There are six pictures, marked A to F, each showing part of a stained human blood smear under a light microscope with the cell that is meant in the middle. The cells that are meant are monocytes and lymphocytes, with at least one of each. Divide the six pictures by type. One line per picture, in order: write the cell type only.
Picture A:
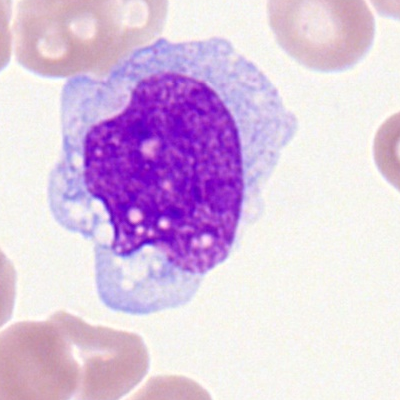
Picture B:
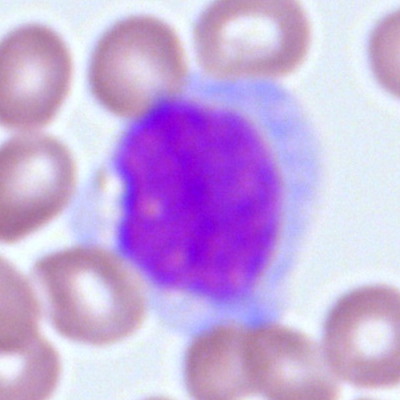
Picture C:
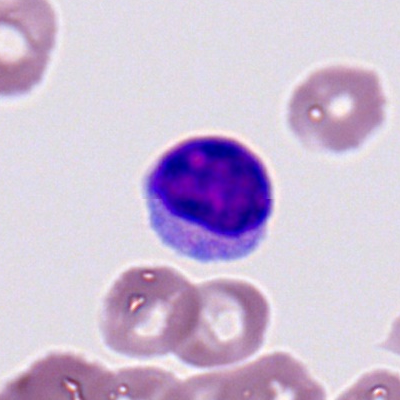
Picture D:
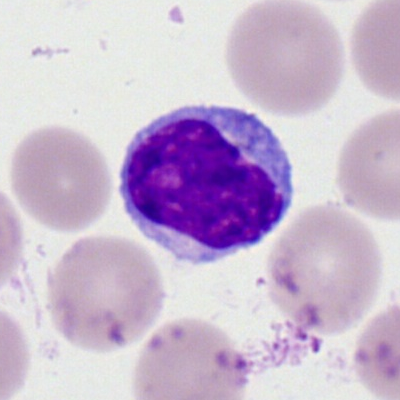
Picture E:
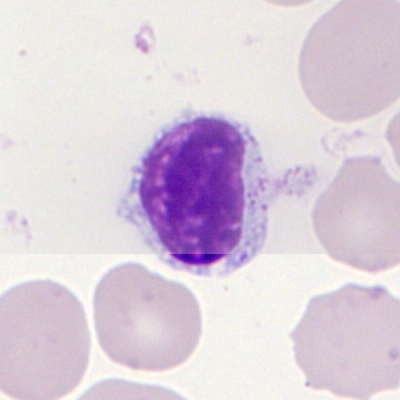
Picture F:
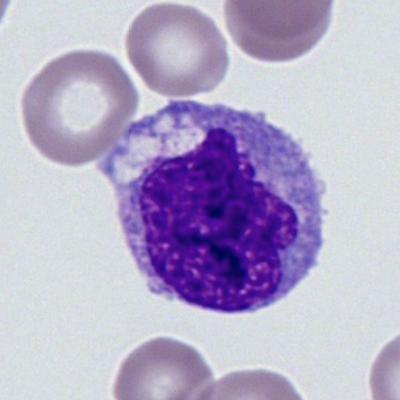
monocyte
monocyte
lymphocyte
lymphocyte
lymphocyte
monocyte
